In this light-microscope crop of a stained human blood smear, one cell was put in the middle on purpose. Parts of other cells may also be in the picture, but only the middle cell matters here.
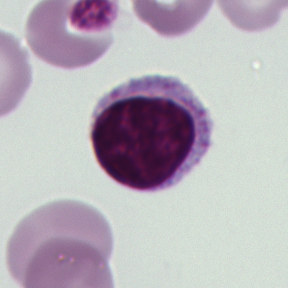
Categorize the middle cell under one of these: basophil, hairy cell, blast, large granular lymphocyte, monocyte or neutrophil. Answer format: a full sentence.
In the crop, the cell of interest at the centre is a large granular lymphocyte.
